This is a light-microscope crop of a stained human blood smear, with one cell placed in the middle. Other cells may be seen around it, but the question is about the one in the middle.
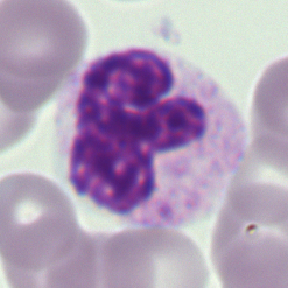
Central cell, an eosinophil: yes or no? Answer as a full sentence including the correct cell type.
No, the cell sitting in the middle is a segmented neutrophil, and it is not an eosinophil.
